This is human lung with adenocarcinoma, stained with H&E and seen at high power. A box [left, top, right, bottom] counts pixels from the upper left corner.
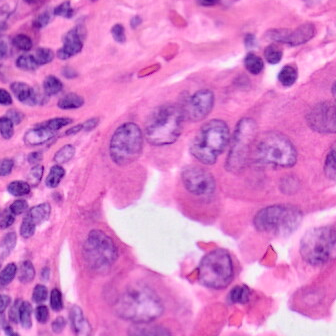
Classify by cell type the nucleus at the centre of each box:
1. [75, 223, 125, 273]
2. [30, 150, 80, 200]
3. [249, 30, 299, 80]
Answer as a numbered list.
1. carcinoma cell
2. lymphocyte
3. lymphocyte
